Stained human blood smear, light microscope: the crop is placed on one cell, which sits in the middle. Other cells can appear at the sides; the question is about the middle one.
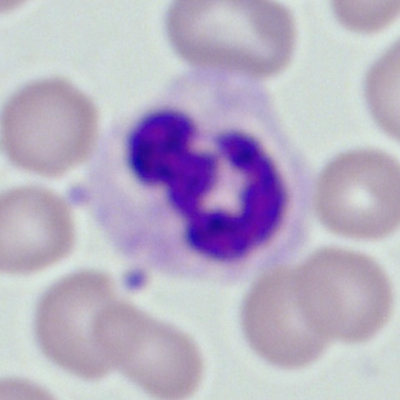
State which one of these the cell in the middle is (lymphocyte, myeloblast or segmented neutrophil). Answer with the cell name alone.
segmented neutrophil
